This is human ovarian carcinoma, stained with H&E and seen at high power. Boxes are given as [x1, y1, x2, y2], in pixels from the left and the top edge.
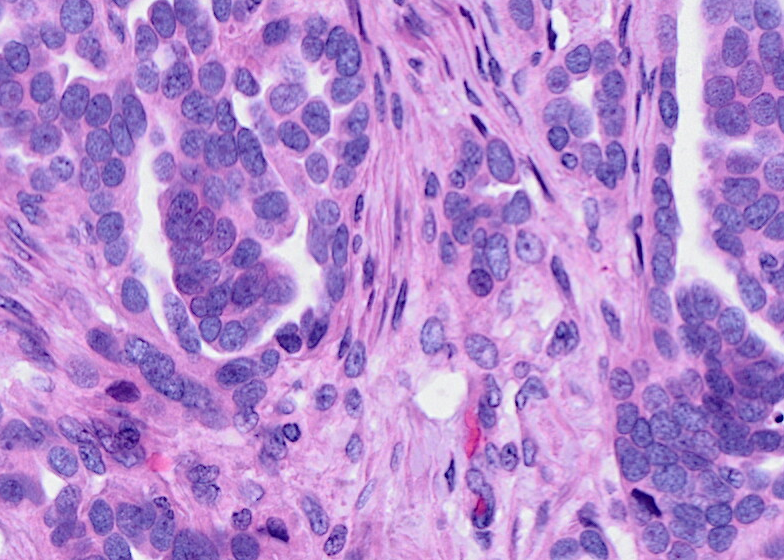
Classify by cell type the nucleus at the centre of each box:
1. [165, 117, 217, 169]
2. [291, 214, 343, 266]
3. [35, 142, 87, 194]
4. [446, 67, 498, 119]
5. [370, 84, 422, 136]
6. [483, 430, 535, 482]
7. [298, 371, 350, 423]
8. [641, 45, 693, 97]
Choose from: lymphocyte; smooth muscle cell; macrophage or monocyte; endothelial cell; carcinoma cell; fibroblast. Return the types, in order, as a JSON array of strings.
["carcinoma cell", "carcinoma cell", "macrophage or monocyte", "fibroblast", "fibroblast", "macrophage or monocyte", "fibroblast", "carcinoma cell"]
